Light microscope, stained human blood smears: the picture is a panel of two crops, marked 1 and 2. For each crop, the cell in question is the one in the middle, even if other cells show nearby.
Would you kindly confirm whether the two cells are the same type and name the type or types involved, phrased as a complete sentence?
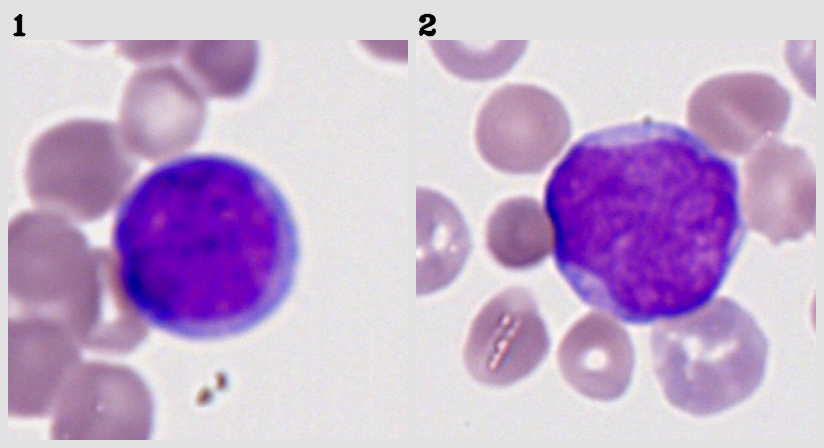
Yes, both crops are centred on myeloblasts.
